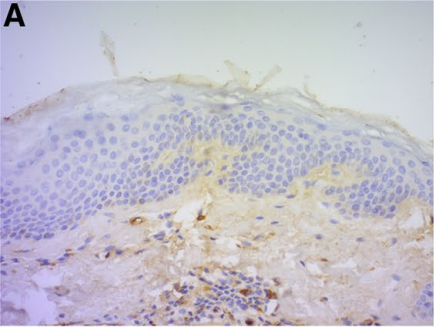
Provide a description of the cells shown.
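Across the upper part runs a stratified squamous epithelium of the skin: rows of closely packed cells with round to oval blue nuclei, becoming flatter toward the surface, where a thin pale, slightly frayed surface layer lies. The epithelial cells show almost no brown colour, only blue nuclei on a pale cytoplasm. Below the epithelium lies looser, pale connective tissue of the dermis, in which a few scattered single cells stand out in brown, and small clusters of blue nuclei sit near the bottom. This is normal epidermis over dermis with the epithelium left unstained.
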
